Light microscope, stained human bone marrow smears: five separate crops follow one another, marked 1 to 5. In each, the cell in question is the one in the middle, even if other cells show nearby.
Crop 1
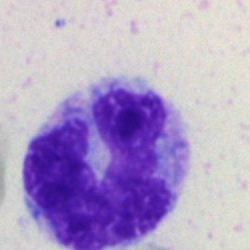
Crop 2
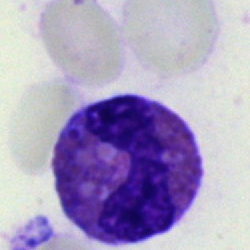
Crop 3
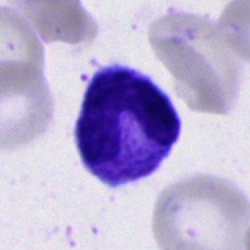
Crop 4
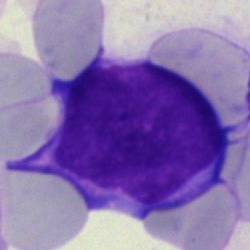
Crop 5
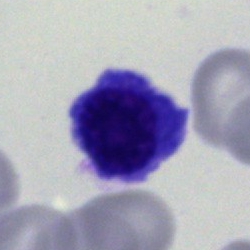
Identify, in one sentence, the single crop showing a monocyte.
The one crop in the set with a monocyte is crop 1.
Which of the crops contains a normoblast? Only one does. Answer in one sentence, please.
Of the cells presented, the one in crop 5 is a normoblast.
